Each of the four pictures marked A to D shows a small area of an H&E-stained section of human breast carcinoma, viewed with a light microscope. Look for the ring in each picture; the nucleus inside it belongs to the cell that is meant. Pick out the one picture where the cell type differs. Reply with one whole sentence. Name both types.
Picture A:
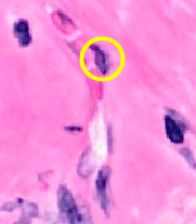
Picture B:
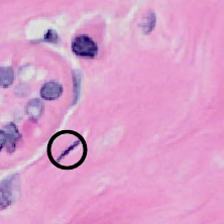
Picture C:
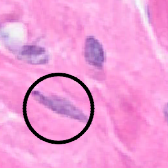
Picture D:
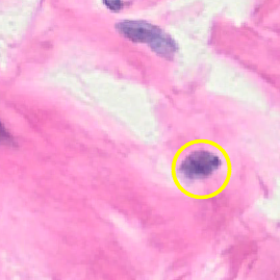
Picture A differs, because its cell is an endothelial cell and the rest are fibroblasts.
